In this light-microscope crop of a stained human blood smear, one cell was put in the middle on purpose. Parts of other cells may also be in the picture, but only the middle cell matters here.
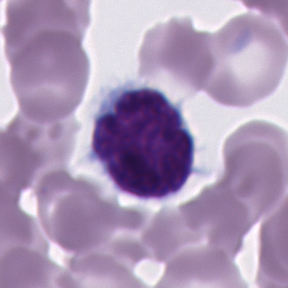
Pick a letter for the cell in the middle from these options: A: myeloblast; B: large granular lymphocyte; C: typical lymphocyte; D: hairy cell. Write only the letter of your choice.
D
